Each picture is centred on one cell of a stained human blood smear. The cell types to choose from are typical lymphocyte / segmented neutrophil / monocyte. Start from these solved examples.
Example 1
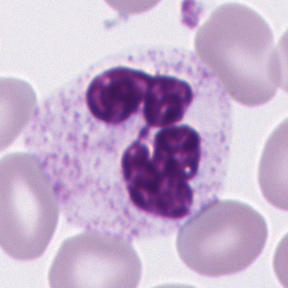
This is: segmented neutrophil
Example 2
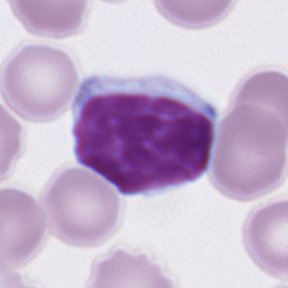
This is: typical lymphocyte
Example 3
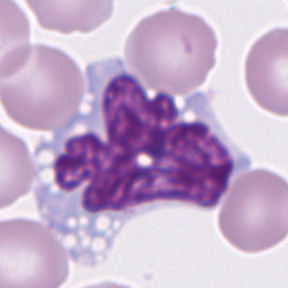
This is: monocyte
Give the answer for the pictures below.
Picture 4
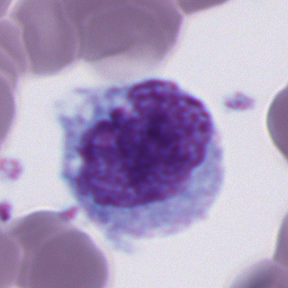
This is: monocyte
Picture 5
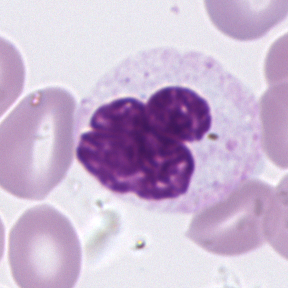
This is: segmented neutrophil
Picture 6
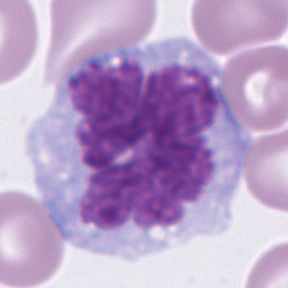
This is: monocyte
